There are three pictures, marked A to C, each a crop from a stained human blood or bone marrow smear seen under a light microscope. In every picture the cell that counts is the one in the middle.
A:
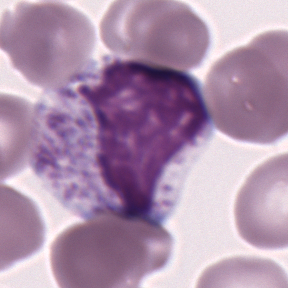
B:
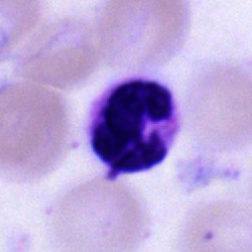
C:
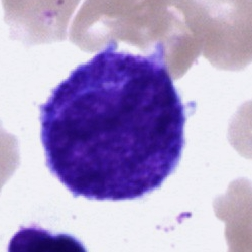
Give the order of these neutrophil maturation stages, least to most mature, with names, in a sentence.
Placed in order from least to most mature, they run crop C (a promyelocyte), crop A (a myelocyte) and crop B (a segmented neutrophil).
